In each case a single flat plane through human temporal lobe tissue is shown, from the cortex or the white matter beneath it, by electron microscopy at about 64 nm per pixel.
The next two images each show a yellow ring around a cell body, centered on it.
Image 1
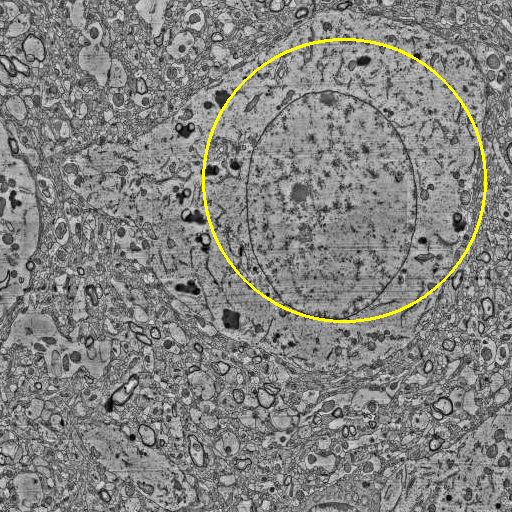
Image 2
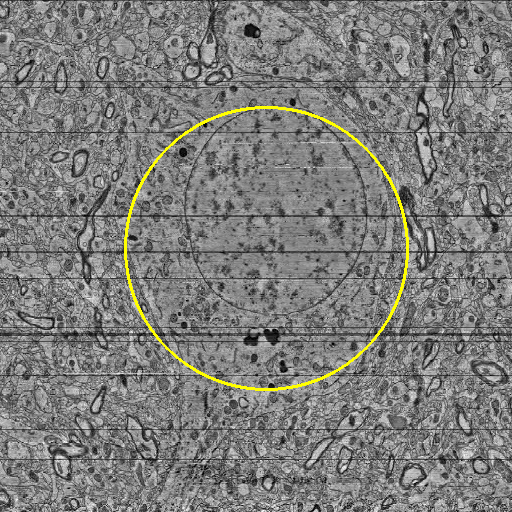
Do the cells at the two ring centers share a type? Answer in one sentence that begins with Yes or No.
Yes, across the two images the cells at the ring centers share one type.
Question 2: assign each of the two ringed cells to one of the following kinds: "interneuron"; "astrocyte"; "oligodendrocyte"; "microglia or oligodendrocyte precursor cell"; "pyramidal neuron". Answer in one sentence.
Each of the ringed cells, first and second, is a pyramidal neuron.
